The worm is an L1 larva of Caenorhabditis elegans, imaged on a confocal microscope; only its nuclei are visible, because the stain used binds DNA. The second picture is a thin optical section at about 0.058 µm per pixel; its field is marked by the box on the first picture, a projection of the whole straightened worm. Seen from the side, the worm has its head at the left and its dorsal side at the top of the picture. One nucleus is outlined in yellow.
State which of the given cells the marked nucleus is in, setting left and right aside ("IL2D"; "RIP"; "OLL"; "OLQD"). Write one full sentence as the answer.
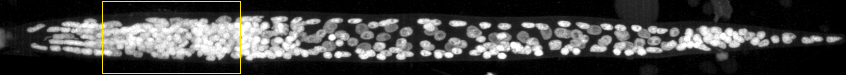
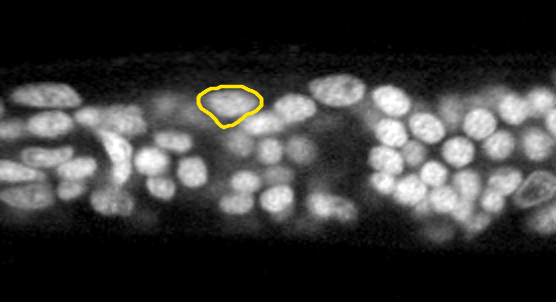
It is the nucleus of IL2D, a neuron.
